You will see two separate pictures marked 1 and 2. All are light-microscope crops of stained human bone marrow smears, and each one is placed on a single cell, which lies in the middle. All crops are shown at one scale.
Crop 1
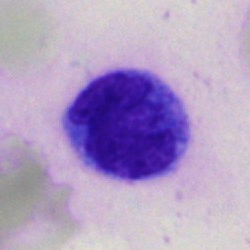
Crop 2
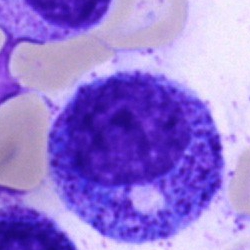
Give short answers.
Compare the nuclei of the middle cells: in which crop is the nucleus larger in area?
2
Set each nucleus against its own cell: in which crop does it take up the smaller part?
2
